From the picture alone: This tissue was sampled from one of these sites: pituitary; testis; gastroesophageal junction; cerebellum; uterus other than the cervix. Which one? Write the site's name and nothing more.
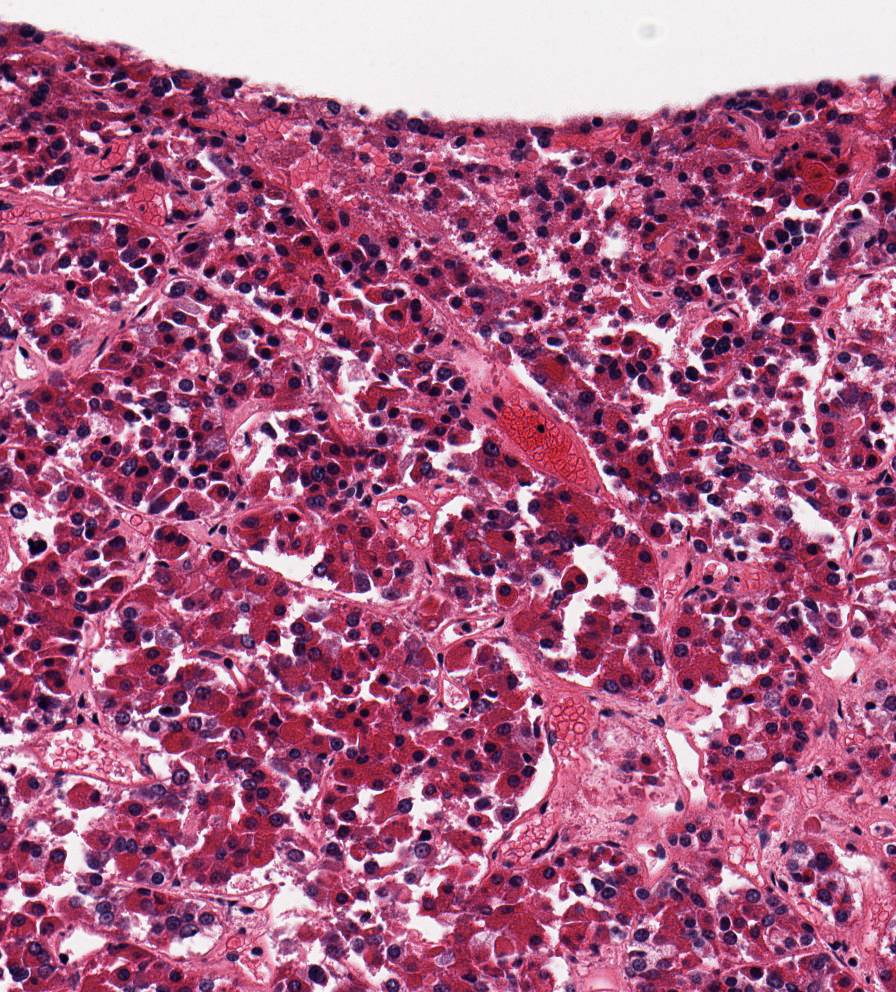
pituitary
